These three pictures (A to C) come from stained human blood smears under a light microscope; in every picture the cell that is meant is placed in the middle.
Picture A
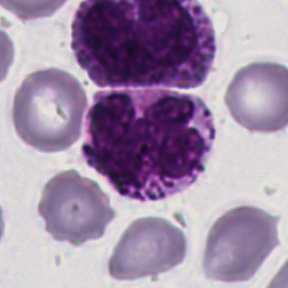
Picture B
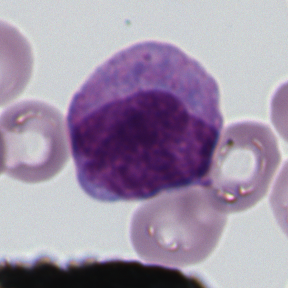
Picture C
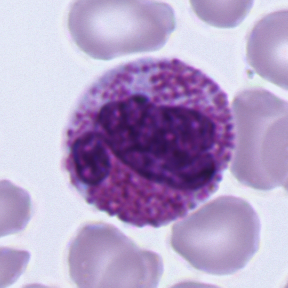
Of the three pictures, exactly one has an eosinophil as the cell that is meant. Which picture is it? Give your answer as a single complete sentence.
The picture with the eosinophil is C.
